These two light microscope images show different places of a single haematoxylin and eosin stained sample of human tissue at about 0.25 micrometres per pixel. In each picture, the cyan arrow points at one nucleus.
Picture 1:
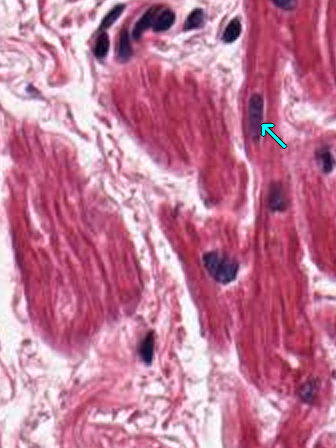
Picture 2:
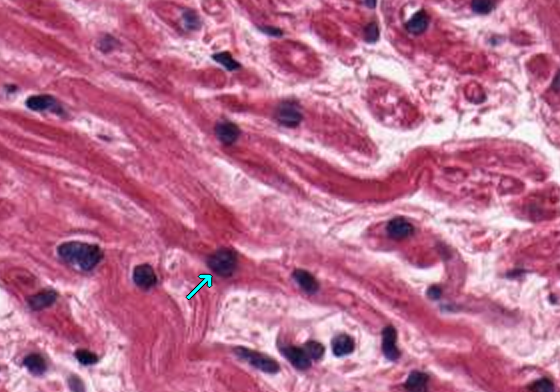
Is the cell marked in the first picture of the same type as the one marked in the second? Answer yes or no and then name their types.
Yes, both are cardiomyocytes.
